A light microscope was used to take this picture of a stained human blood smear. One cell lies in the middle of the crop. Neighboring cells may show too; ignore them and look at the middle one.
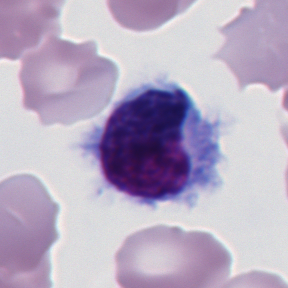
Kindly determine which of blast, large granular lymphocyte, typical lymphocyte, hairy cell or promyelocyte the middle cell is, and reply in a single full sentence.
The cell featured at the centre of this crop is a hairy cell.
